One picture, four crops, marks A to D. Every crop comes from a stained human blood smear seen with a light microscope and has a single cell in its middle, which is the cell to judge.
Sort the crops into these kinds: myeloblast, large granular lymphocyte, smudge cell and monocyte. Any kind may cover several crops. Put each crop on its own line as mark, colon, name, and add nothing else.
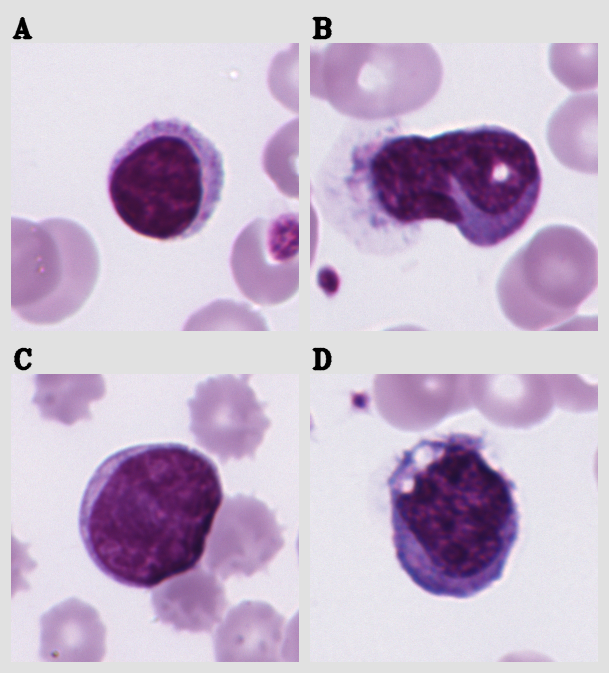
A: large granular lymphocyte
B: monocyte
C: myeloblast
D: monocyte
